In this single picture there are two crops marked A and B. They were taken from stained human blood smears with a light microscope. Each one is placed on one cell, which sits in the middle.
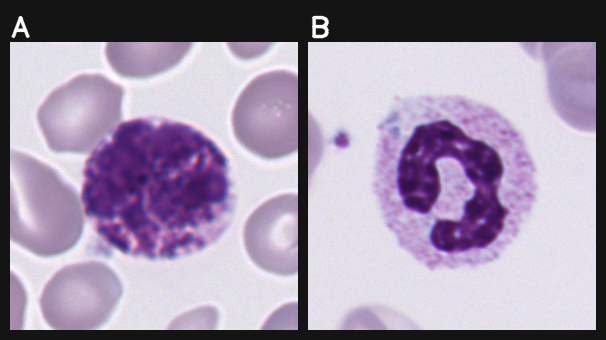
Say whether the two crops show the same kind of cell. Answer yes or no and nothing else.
no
